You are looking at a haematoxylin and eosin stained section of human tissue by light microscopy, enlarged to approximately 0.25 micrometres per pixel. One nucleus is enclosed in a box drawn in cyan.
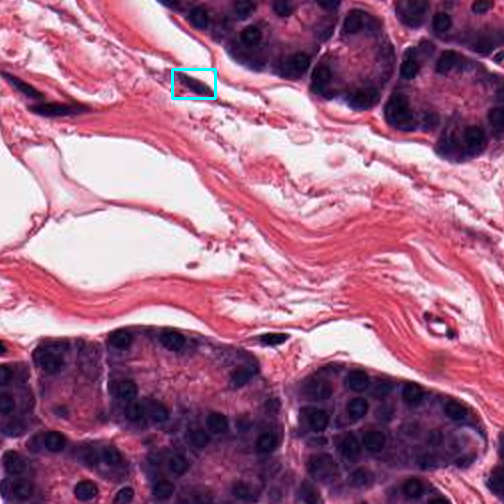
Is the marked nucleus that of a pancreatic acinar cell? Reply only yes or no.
no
